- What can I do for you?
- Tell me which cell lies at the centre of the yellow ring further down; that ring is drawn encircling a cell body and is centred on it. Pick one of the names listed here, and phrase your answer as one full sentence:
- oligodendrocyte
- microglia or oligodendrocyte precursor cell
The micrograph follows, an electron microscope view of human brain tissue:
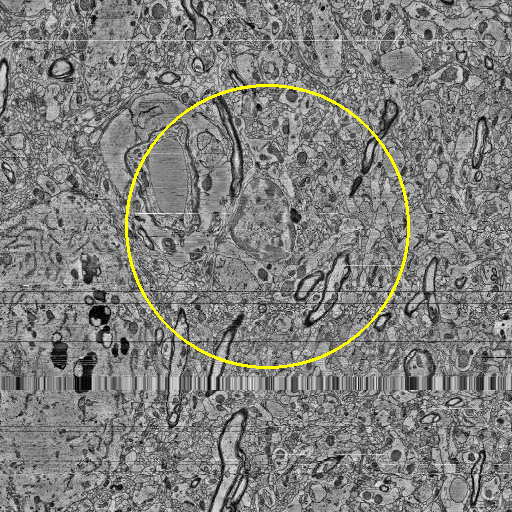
The cell whose body lies at the centre of the yellow ring is a microglial cell or oligodendrocyte precursor cell.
